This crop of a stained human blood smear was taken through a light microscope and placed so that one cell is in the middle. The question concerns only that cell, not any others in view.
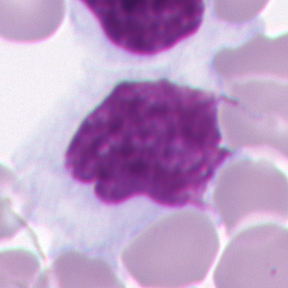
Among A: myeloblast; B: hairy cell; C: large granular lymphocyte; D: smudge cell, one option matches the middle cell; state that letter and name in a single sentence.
Well, the cell in the middle is a hairy cell, making option B right.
